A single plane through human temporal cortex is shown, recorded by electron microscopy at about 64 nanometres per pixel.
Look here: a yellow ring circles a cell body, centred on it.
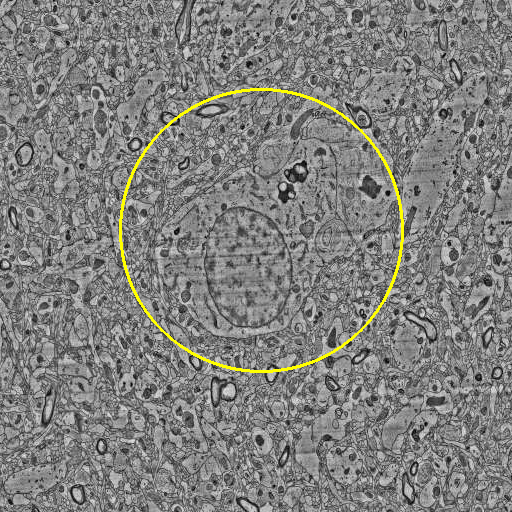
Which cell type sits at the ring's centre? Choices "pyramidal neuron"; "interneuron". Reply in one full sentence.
The cell at the centre of the yellow ring in the picture is a pyramidal neuron.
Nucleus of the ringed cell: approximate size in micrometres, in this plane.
In this plane, the nucleus of the cell at the centre of the ring measures about 8 by 6 micrometres.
